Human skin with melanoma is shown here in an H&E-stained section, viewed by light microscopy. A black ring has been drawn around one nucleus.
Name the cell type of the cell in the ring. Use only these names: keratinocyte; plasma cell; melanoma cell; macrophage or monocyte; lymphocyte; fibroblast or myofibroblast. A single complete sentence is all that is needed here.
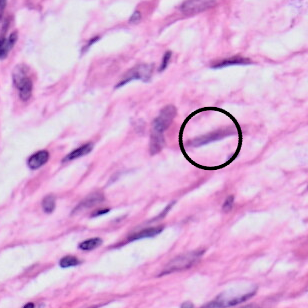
It is as a fibroblast or myofibroblast that the cell in the ring is classified.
